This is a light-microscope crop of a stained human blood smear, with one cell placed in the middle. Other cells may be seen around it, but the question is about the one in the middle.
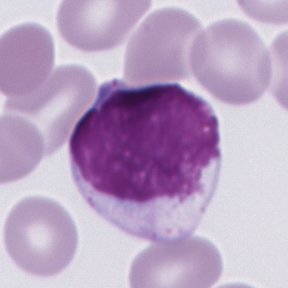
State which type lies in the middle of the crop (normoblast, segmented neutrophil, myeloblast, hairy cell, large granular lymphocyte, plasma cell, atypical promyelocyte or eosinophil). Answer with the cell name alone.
large granular lymphocyte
